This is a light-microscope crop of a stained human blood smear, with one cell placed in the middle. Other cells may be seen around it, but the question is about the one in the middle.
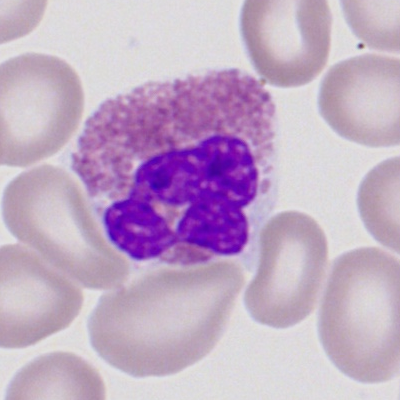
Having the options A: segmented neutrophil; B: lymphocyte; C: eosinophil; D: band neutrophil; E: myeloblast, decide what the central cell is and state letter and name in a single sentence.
Option C gets it right: the cell in the middle is an eosinophil.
